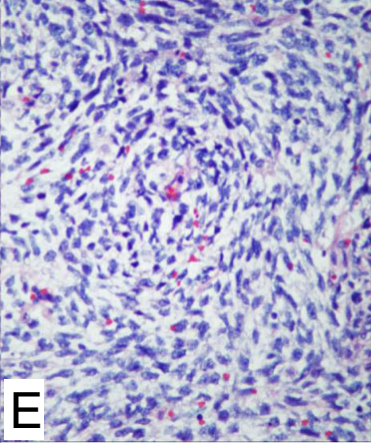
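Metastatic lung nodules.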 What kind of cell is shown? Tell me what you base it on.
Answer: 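Nuclei are elongated, many tapered at both ends. Cells run in streams and whorls. So: spindle cells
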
